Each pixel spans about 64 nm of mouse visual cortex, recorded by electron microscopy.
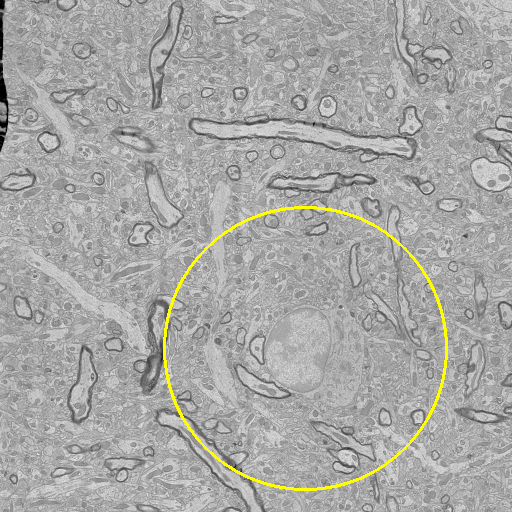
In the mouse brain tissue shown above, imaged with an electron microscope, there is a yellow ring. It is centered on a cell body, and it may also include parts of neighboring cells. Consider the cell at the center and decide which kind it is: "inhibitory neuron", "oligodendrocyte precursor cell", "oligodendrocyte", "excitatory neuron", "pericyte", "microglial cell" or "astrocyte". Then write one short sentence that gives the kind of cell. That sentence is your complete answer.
This centered cell body is that of an oligodendrocyte.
